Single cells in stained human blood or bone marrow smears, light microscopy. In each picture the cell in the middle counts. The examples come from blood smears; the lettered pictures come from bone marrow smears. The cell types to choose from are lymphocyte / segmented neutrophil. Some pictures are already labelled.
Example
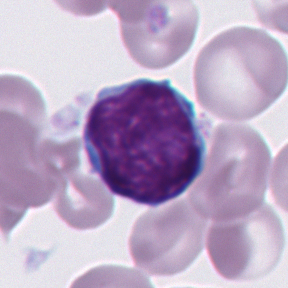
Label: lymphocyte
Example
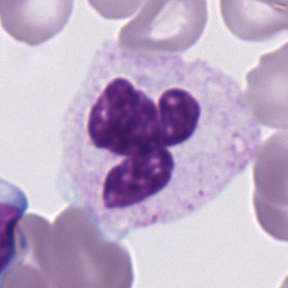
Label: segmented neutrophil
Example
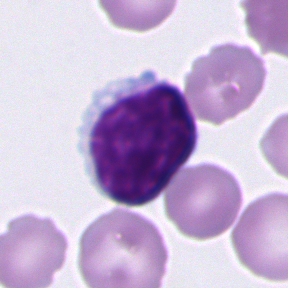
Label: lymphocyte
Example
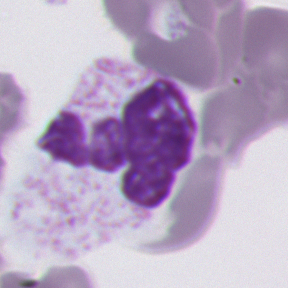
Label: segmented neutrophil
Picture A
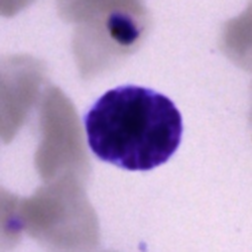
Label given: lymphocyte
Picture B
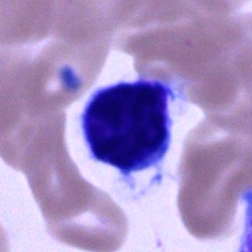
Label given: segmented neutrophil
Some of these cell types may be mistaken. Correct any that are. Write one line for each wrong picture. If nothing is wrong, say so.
Wrong: B (segmented neutrophil); correct: lymphocyte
